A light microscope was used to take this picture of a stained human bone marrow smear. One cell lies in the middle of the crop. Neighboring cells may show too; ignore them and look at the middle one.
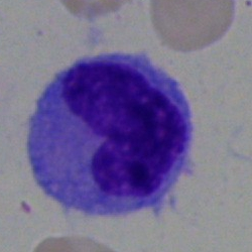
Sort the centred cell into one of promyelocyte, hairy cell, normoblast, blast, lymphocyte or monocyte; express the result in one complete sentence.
The middle of this crop holds a monocyte.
